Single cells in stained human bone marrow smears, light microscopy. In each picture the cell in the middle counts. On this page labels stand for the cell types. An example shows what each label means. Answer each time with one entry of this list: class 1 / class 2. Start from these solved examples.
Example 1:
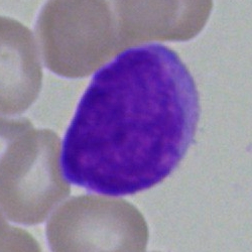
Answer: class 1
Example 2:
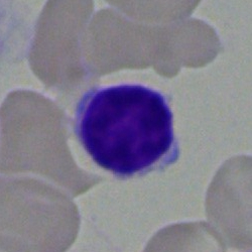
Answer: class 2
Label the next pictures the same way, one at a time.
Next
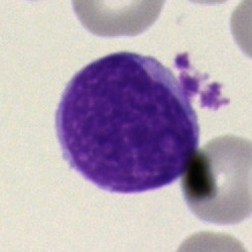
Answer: class 1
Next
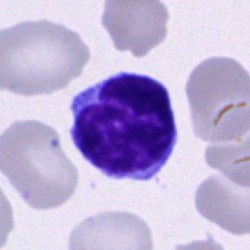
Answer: class 2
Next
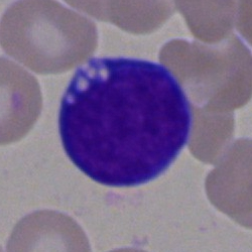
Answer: class 1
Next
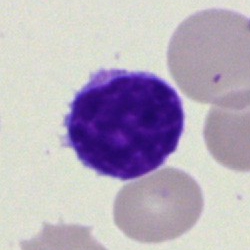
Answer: class 2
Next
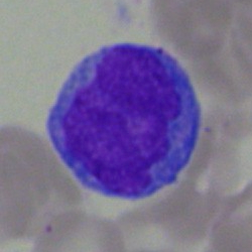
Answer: class 1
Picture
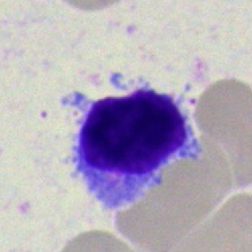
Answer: class 2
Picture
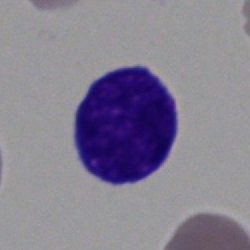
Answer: class 1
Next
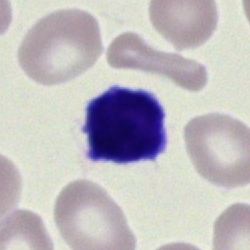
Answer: class 2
